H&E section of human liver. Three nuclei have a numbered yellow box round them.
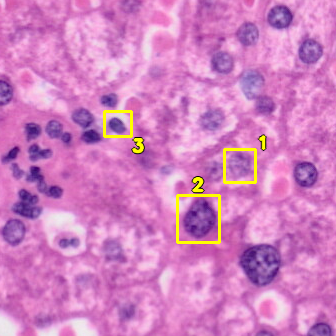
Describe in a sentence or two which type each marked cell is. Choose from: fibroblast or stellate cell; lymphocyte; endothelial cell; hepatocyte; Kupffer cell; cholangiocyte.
Cells 1 and 2 are hepatocytes. Cell 3 is a lymphocyte.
